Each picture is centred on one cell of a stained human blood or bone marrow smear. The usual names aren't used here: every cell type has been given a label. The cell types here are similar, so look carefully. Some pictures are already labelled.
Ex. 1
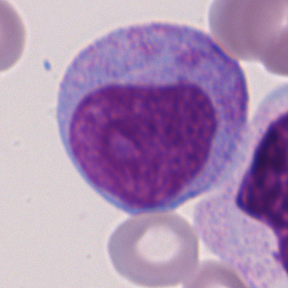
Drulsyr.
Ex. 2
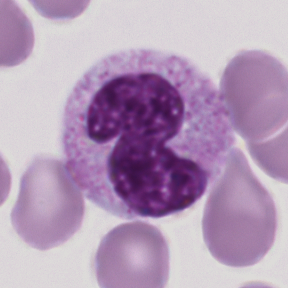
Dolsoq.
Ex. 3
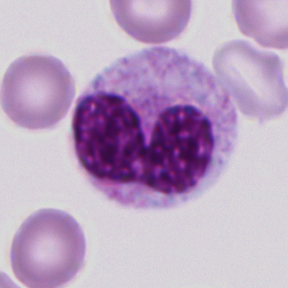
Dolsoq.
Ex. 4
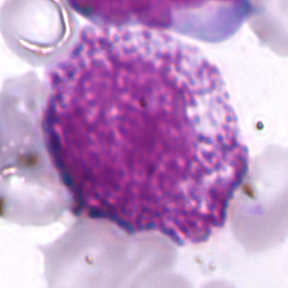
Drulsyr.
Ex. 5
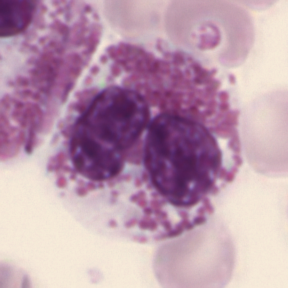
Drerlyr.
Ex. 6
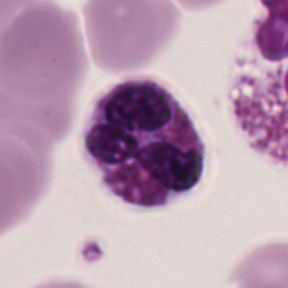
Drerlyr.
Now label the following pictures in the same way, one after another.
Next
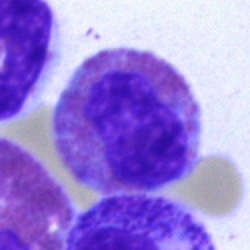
Drerlyr.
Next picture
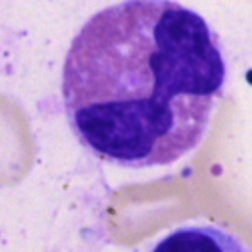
Drerlyr.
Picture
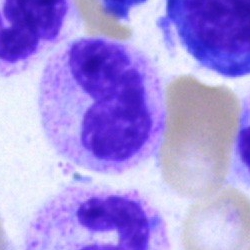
Dolsoq.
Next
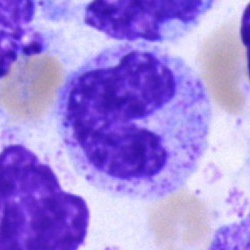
Dolsoq.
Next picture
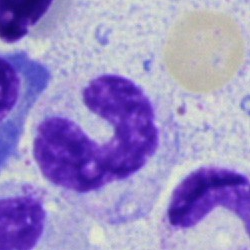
Dolsoq.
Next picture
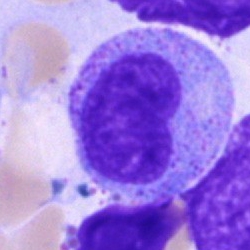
Drulsyr.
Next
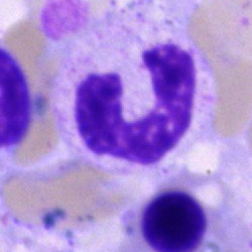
Dolsoq.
